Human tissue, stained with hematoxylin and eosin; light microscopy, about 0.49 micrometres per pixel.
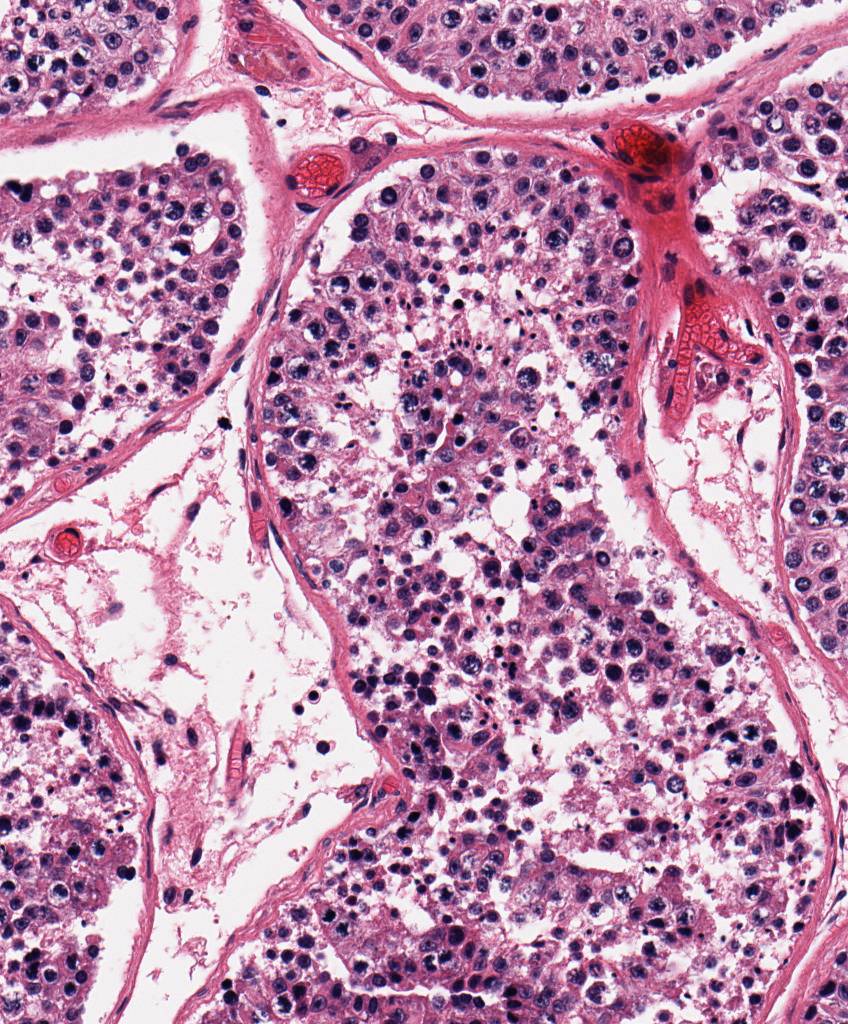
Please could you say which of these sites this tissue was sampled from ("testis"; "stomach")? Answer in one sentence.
The site this tissue was sampled from is the testis.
